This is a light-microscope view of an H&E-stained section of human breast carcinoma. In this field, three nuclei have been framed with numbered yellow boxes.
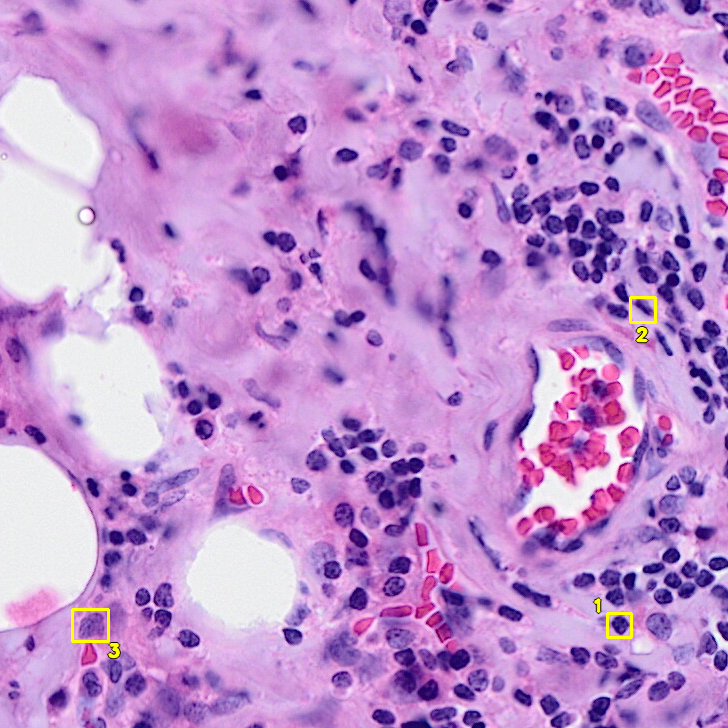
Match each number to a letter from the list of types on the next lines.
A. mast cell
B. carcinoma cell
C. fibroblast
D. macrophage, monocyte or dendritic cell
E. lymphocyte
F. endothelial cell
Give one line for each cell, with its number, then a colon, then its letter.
1: E
2: E
3: F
